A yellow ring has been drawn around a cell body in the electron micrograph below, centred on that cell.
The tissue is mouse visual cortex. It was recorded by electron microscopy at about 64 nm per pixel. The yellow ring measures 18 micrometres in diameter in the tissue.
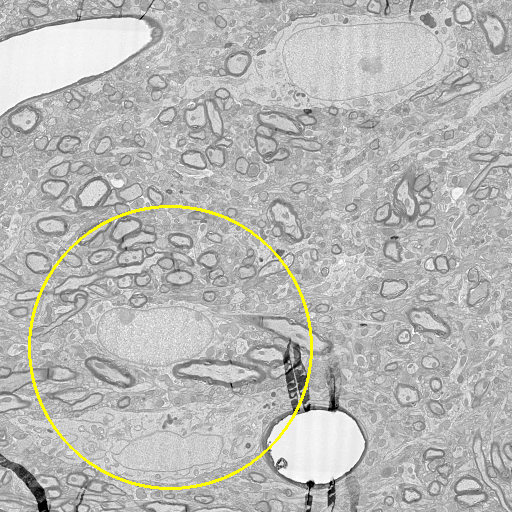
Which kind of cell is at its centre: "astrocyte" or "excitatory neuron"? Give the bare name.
astrocyte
